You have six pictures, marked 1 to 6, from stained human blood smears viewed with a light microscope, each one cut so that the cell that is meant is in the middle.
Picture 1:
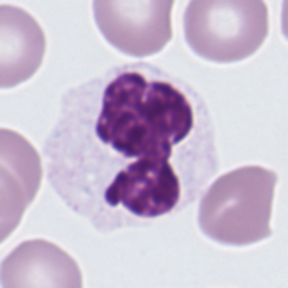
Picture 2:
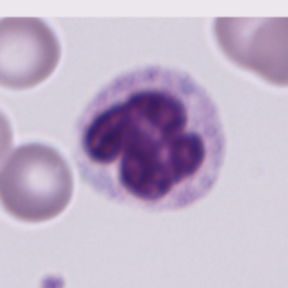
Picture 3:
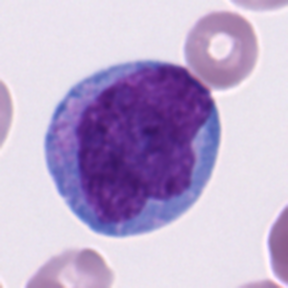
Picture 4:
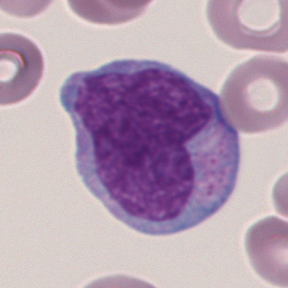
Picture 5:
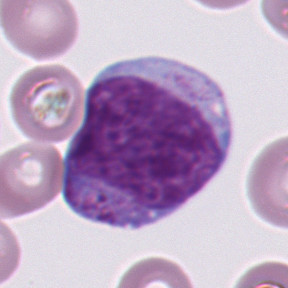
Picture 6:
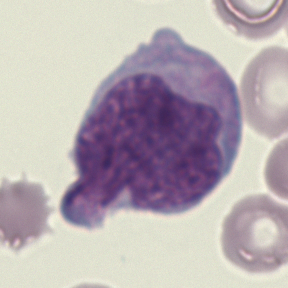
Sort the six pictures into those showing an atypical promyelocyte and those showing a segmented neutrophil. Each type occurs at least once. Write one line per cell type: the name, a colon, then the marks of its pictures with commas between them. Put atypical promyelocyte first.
atypical promyelocyte: 3, 4, 5, 6
segmented neutrophil: 1, 2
